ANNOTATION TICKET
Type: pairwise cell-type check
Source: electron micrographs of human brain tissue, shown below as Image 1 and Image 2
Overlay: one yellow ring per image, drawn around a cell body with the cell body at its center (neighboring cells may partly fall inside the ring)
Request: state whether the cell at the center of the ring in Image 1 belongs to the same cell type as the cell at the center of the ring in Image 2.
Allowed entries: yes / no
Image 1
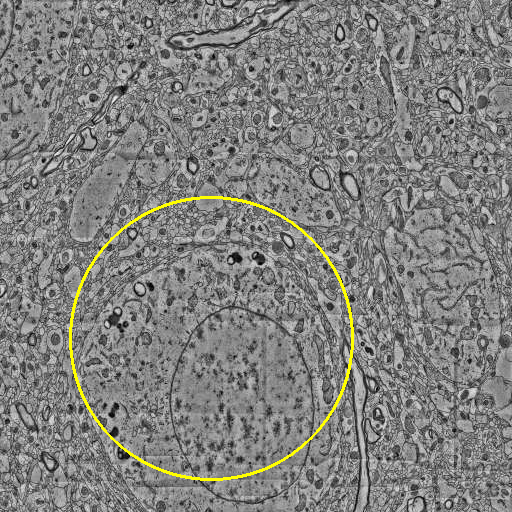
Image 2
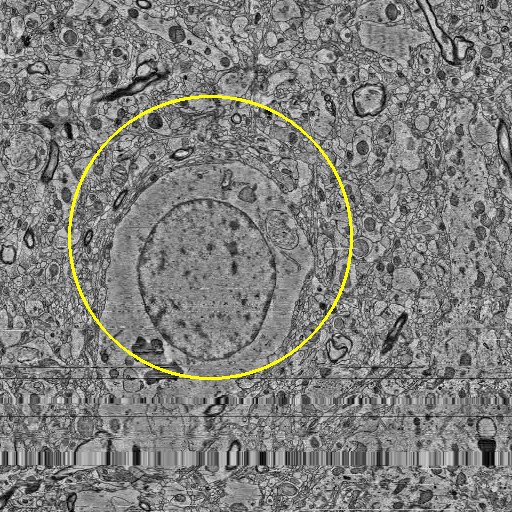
no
